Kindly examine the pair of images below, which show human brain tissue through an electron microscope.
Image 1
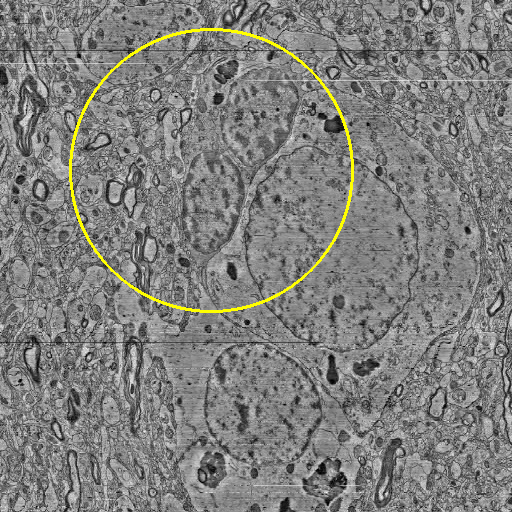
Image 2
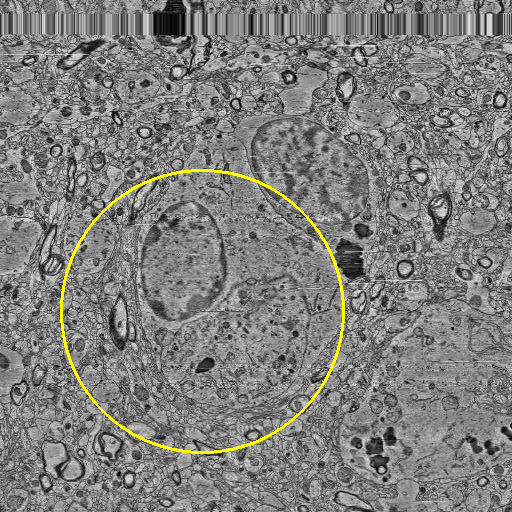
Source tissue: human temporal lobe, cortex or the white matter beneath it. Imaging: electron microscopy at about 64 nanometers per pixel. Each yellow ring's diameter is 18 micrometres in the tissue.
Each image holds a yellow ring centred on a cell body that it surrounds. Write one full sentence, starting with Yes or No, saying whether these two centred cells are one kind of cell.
No, the cells at the centres of the yellow rings belong to two kinds of cell.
